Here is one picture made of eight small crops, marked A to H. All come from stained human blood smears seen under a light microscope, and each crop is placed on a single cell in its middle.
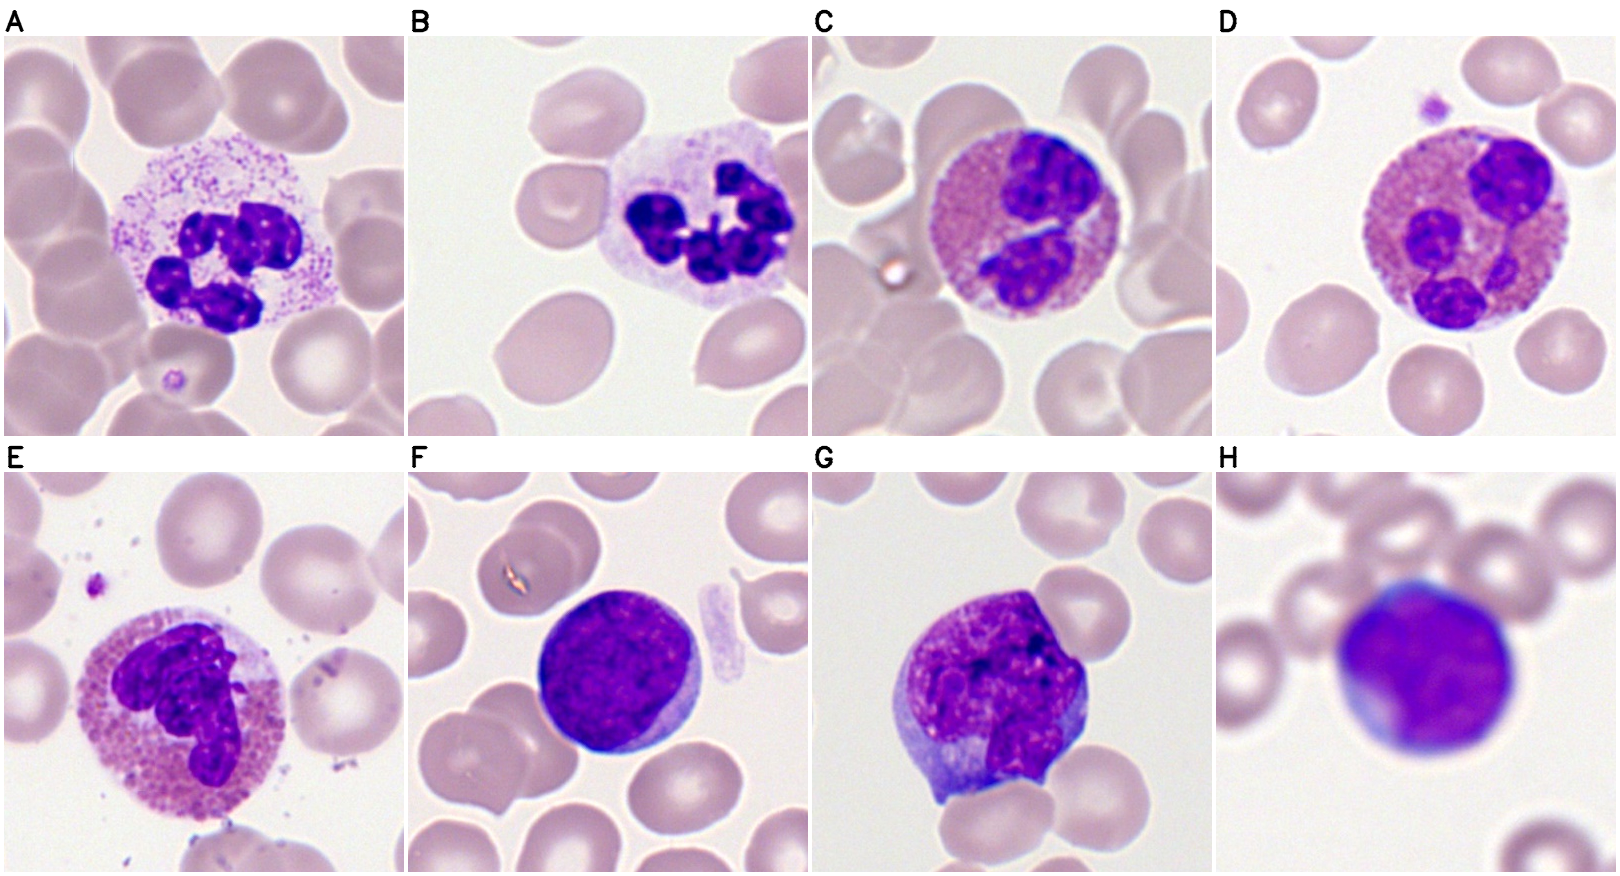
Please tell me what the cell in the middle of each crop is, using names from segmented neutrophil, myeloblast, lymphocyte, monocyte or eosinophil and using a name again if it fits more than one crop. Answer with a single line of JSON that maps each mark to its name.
{"A": "segmented neutrophil", "B": "segmented neutrophil", "C": "eosinophil", "D": "eosinophil", "E": "eosinophil", "F": "myeloblast", "G": "myeloblast", "H": "myeloblast"}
